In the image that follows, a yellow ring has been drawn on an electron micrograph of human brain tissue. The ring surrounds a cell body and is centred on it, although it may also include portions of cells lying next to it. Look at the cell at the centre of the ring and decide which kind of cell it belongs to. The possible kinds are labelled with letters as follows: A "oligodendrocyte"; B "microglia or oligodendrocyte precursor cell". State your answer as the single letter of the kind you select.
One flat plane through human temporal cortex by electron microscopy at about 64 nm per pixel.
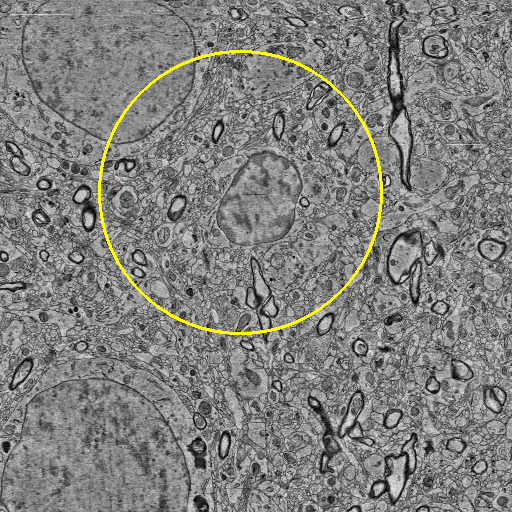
B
